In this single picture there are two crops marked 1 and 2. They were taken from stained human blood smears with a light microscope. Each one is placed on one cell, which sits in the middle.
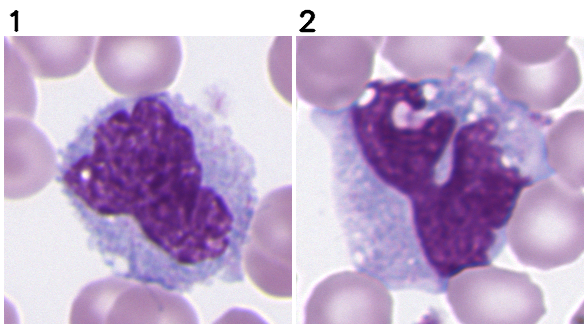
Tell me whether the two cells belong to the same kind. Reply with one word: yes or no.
yes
